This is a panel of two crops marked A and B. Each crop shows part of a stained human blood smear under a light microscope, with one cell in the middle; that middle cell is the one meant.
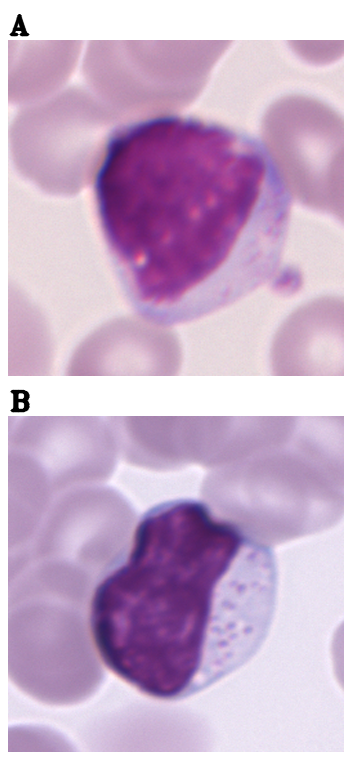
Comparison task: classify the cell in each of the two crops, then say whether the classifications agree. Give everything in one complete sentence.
Yes, both crops are centred on cells that are large granular lymphocytes.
